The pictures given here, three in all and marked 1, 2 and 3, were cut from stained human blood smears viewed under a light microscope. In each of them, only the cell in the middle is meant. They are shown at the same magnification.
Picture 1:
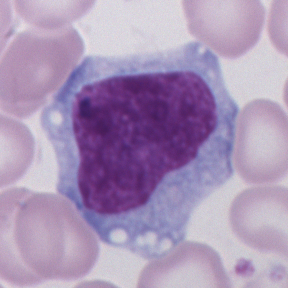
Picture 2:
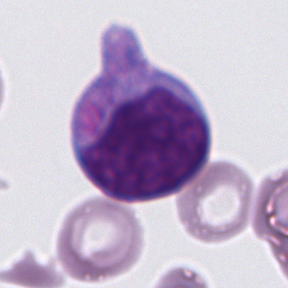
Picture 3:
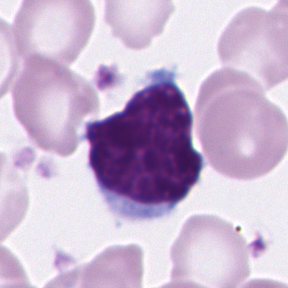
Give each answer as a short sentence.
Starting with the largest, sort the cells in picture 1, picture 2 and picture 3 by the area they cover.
Largest first: 1, 2, 3.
